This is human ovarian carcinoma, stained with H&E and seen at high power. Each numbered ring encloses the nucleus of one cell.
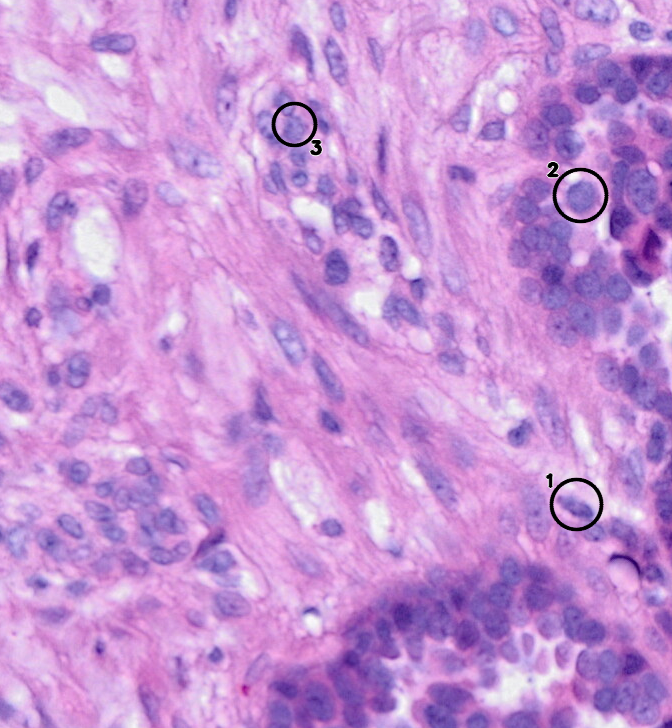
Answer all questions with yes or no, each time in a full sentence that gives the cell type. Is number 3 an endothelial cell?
Yes, number 3 is assigned to a cell that is an endothelial cell.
